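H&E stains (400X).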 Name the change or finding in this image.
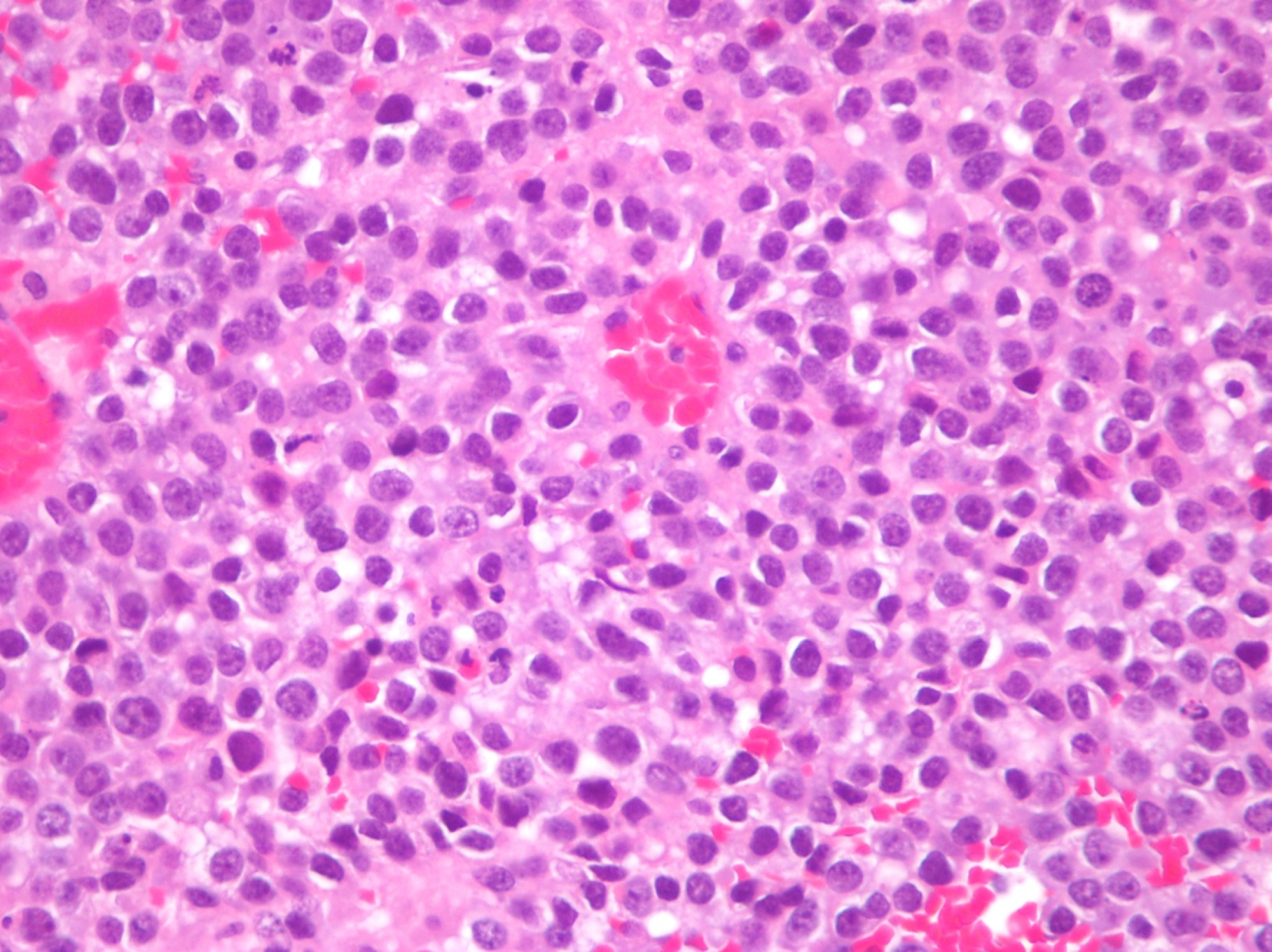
High nuclear-cytoplasmic ratio.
